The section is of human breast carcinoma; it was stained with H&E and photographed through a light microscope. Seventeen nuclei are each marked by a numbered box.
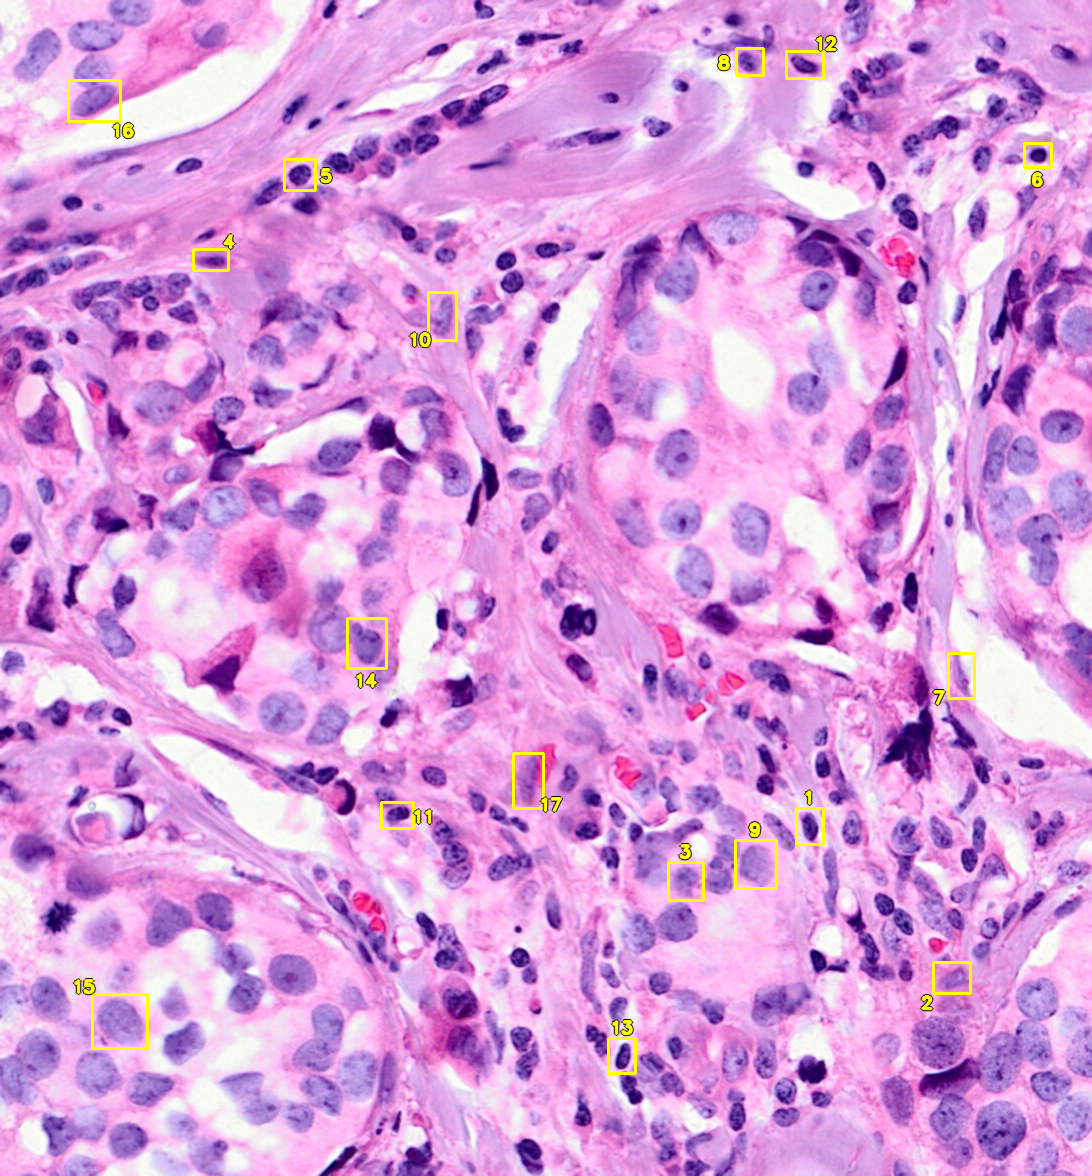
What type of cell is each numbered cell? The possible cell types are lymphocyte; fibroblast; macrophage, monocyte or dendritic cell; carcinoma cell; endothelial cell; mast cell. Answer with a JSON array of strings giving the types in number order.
["lymphocyte", "endothelial cell", "carcinoma cell", "mast cell", "lymphocyte", "lymphocyte", "fibroblast", "mast cell", "carcinoma cell", "endothelial cell", "lymphocyte", "mast cell", "lymphocyte", "carcinoma cell", "carcinoma cell", "carcinoma cell", "endothelial cell"]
